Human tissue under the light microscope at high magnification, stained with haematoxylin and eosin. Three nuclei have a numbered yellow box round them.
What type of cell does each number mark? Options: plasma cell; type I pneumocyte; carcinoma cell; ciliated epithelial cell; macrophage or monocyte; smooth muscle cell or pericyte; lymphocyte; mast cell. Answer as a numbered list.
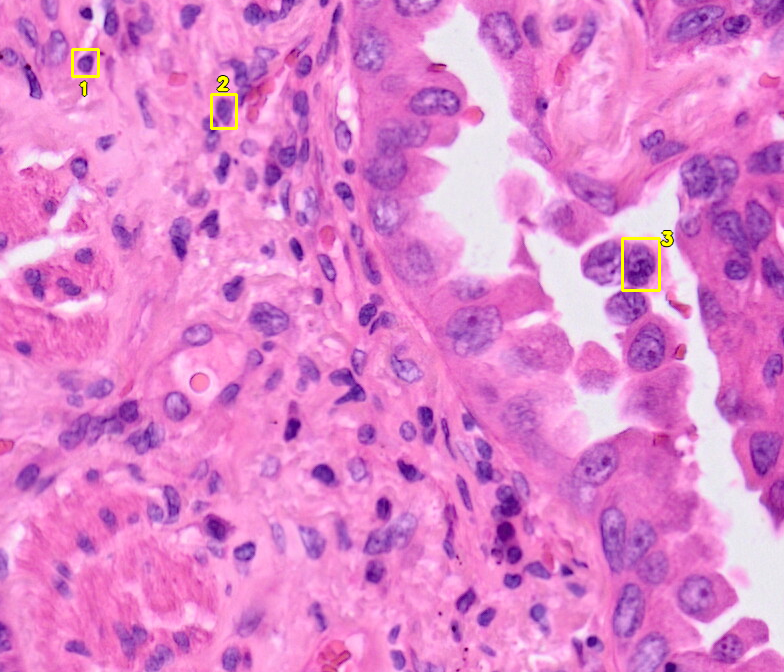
1. lymphocyte
2. lymphocyte
3. carcinoma cell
